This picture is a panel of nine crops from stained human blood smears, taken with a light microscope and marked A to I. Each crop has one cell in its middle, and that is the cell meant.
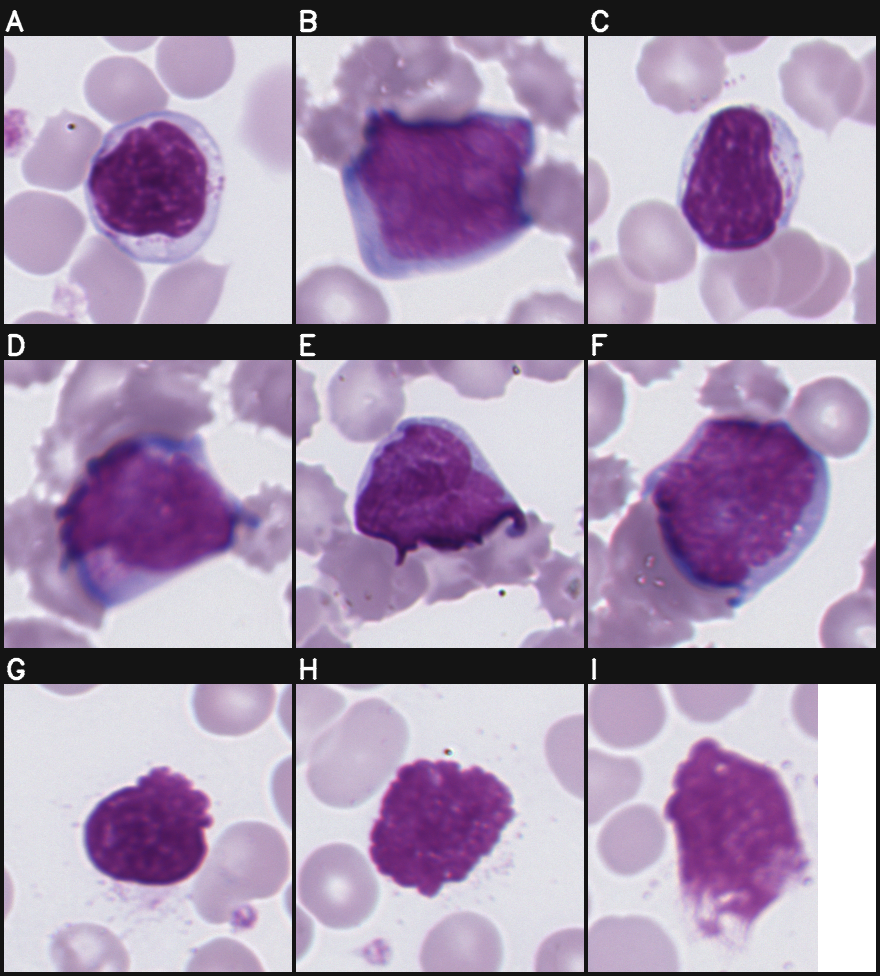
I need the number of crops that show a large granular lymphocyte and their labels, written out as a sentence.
Here, two crops, A and C, show large granular lymphocytes.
